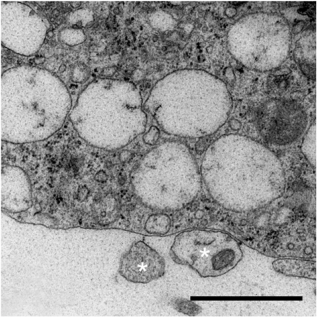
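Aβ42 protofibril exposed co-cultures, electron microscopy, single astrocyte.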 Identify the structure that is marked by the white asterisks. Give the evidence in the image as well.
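Two small round membrane-bound profiles carry the asterisks. They sit at the lower edge of the cell, bulging out of or lying against its surface. They are far smaller than the cell body and hold granular or dark contents. So: microvesicle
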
